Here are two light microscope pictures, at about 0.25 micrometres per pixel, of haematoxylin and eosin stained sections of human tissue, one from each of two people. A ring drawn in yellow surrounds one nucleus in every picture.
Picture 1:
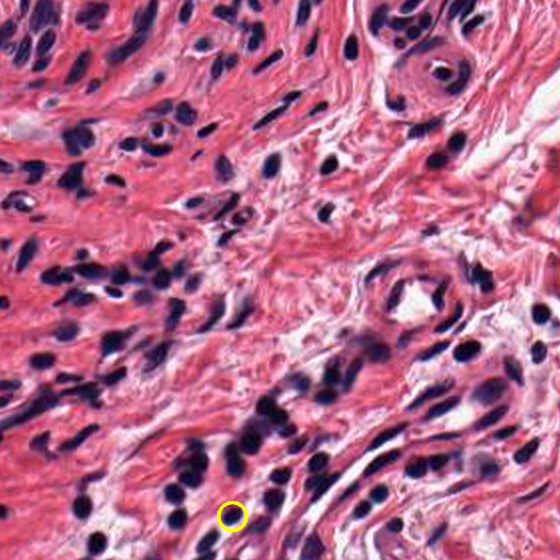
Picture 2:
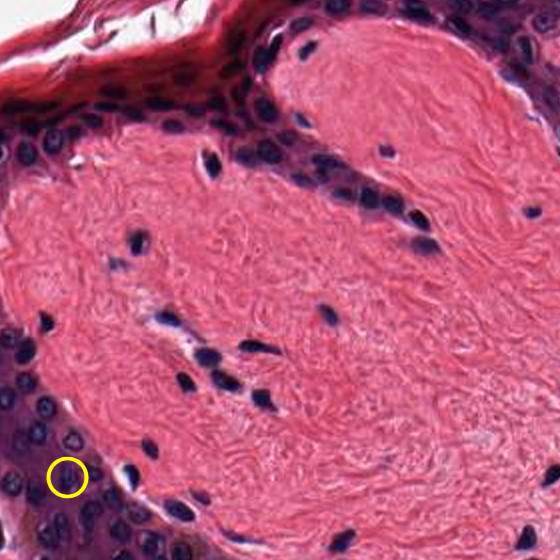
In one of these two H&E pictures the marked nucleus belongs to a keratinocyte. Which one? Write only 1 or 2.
2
